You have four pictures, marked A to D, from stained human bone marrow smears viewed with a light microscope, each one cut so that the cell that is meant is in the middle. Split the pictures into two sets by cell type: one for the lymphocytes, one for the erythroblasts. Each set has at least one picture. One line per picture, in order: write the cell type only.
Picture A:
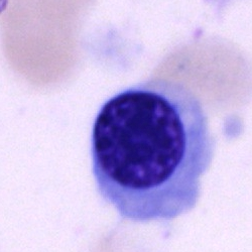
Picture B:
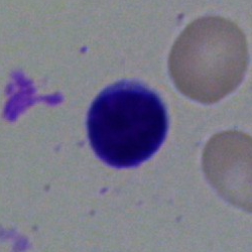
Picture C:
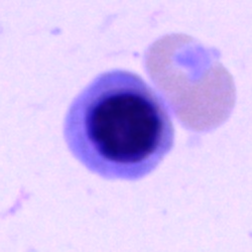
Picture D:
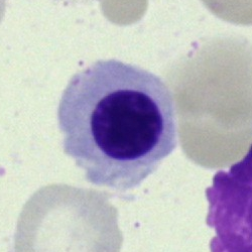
erythroblast
lymphocyte
erythroblast
erythroblast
